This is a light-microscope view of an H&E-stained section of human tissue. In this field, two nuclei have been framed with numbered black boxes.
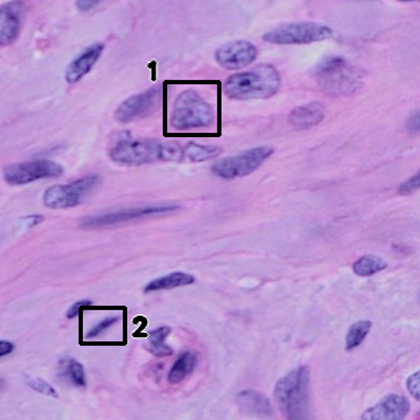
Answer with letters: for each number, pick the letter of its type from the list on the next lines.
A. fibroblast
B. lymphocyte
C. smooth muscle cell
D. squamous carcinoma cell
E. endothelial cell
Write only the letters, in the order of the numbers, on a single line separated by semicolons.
E; A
